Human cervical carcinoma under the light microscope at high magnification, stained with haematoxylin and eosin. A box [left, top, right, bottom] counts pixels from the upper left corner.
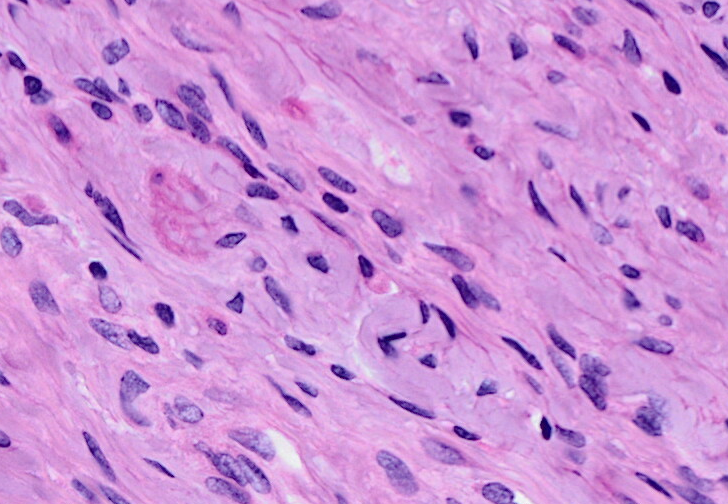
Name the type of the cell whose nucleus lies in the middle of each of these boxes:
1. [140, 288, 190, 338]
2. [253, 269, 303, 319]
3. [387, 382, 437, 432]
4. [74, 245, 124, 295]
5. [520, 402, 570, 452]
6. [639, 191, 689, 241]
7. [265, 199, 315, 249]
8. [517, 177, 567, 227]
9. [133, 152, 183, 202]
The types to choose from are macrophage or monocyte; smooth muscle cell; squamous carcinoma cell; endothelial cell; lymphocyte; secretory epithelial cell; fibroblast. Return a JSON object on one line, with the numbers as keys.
{"1": "lymphocyte", "2": "fibroblast", "3": "fibroblast", "4": "lymphocyte", "5": "lymphocyte", "6": "lymphocyte", "7": "fibroblast", "8": "fibroblast", "9": "smooth muscle cell"}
